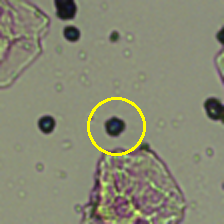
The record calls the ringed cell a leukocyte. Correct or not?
Correct; it is a leukocyte.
